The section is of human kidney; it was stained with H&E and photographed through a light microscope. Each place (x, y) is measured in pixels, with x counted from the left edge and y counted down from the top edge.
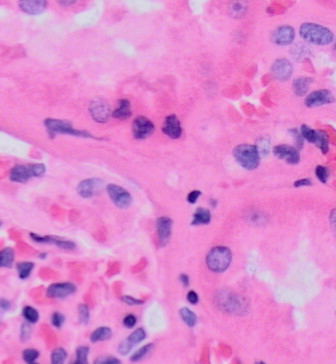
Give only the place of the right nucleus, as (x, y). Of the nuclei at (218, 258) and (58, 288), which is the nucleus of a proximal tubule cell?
(218, 258)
